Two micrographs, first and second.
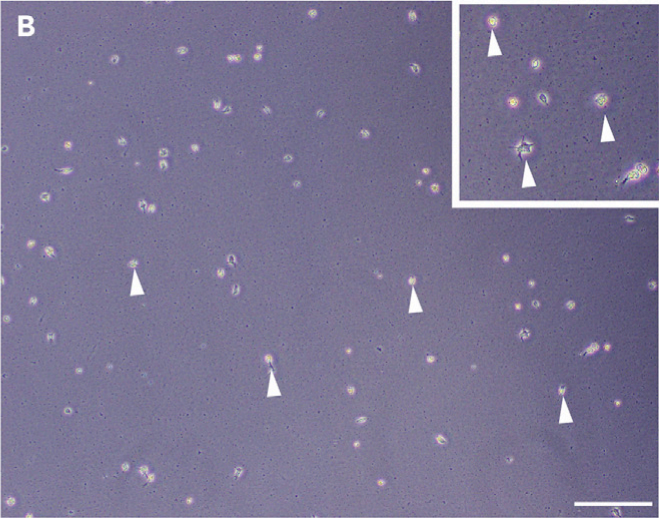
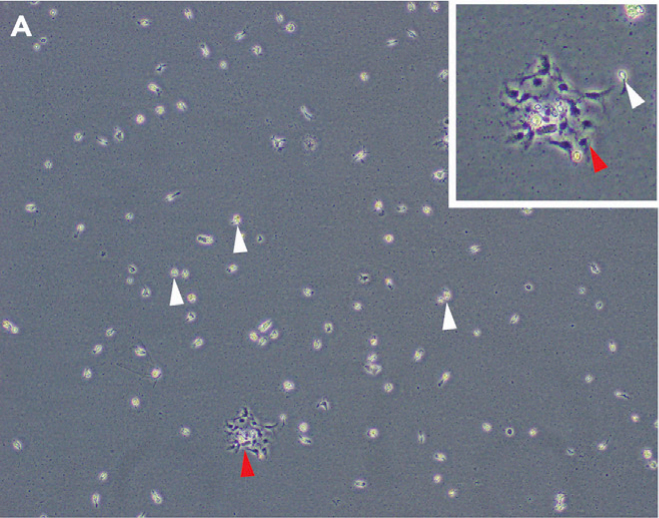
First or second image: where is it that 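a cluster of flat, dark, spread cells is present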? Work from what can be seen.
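First image: only scattered small, bright, rounded cells, with no flat clusters. Second image: a compact group of flat, dark cells with irregular processes lies among the bright cells.
Conclusion: the second image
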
